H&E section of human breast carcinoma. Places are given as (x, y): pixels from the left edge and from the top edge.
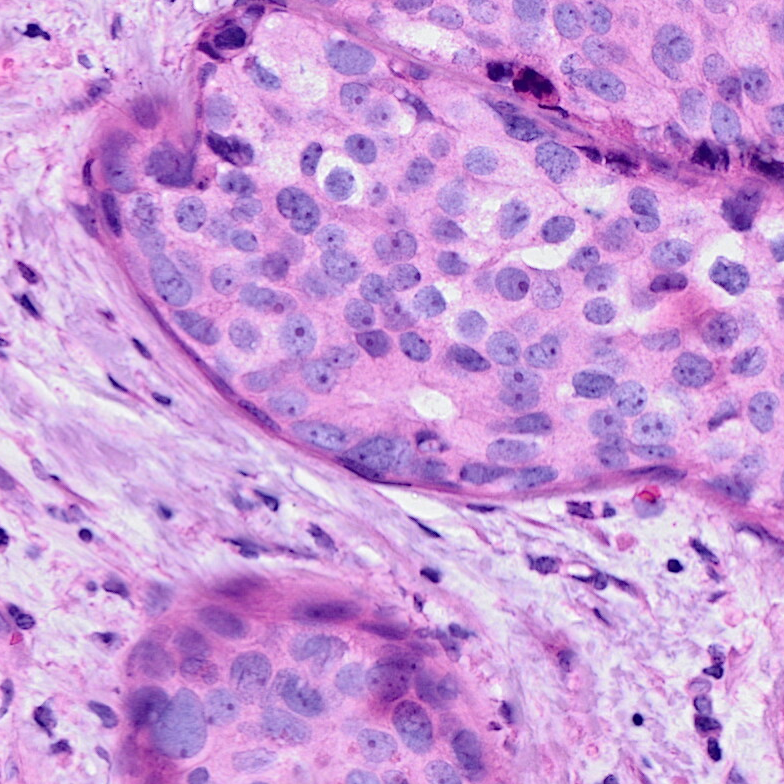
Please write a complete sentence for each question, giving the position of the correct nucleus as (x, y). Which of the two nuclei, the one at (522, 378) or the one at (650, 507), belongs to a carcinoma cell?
The nucleus at (522, 378) is the one that belongs to a carcinoma cell.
